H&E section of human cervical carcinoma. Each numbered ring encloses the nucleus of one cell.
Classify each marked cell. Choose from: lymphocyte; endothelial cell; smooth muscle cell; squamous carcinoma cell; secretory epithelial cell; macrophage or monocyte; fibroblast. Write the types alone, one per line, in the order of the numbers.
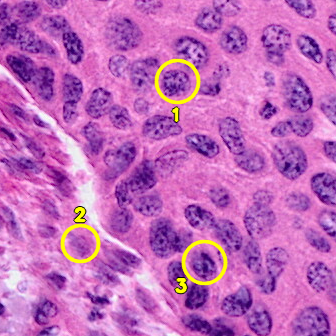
squamous carcinoma cell
fibroblast
squamous carcinoma cell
